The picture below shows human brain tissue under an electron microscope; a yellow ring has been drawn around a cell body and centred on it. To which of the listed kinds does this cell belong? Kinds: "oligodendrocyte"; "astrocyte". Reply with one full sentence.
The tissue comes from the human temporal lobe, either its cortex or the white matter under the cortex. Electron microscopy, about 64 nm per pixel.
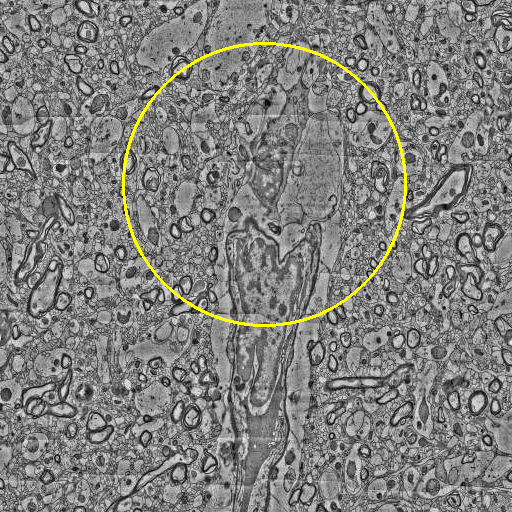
It is an oligodendrocyte that the yellow ring in the picture is centred on.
